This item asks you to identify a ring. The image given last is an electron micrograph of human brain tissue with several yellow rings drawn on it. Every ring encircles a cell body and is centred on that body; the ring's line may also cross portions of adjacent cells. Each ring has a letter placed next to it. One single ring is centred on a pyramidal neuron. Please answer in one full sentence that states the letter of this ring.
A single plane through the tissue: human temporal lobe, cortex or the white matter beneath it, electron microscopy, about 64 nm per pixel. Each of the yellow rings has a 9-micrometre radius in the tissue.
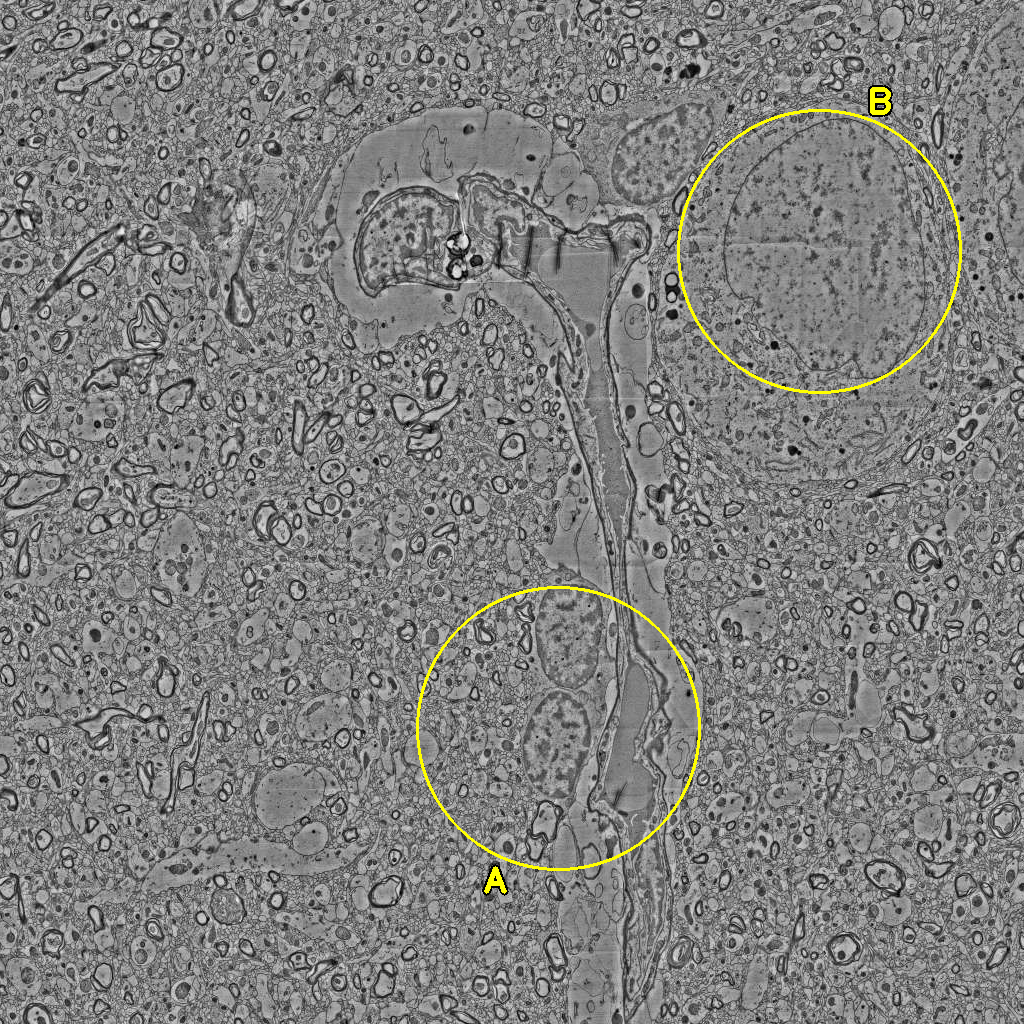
My answer is letter B, the ring centred on the cell asked for.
